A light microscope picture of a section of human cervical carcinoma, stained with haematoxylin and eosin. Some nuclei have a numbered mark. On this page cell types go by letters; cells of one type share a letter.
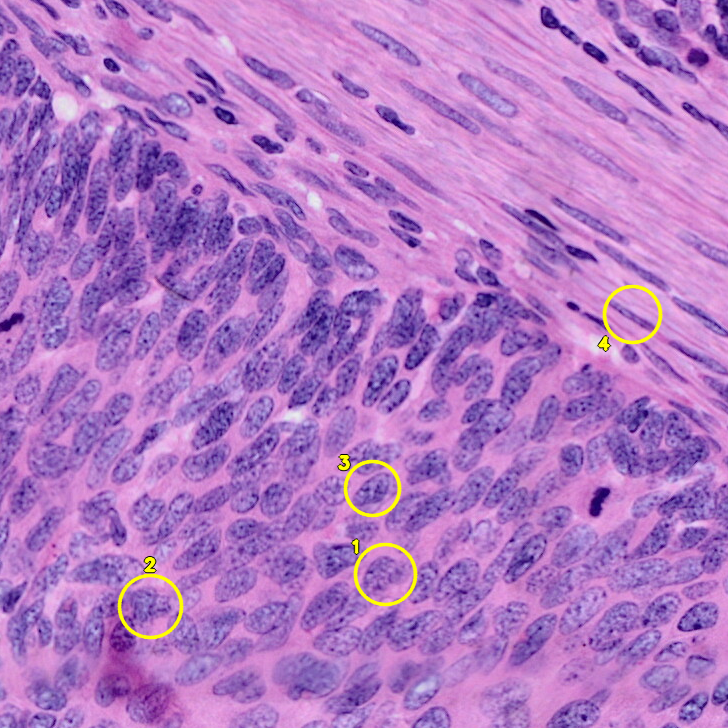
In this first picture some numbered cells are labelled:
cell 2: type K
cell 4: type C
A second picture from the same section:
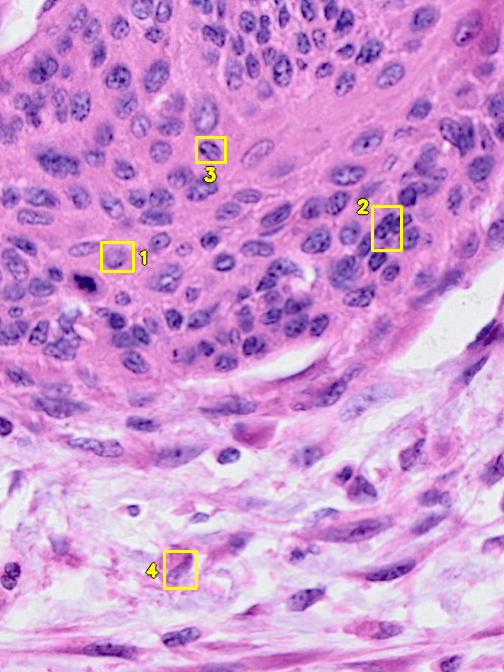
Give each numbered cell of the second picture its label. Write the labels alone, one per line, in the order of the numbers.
type K
type K
type K
type C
